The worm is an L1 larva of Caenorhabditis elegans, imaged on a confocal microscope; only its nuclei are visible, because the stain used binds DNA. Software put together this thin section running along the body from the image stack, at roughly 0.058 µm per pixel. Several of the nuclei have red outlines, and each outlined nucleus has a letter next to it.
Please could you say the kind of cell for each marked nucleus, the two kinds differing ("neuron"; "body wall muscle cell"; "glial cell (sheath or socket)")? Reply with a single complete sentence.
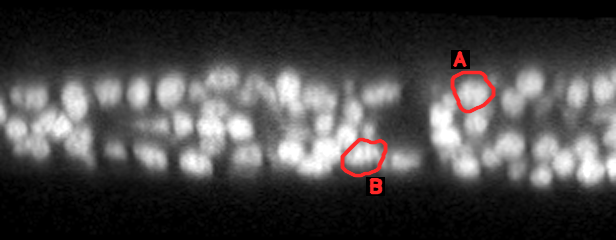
The nucleus A is that of a neuron, while B is that of a glial cell (sheath or socket).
